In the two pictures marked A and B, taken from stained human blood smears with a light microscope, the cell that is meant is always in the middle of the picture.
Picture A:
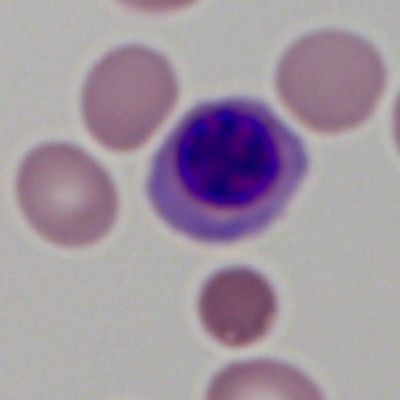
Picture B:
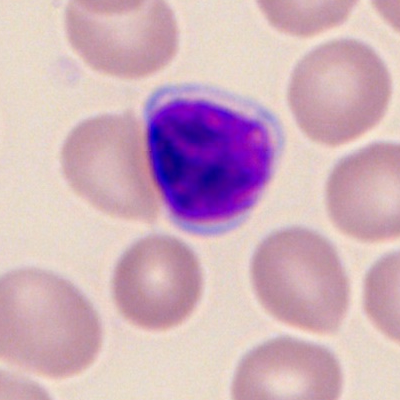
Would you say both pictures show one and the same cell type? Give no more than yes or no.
no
